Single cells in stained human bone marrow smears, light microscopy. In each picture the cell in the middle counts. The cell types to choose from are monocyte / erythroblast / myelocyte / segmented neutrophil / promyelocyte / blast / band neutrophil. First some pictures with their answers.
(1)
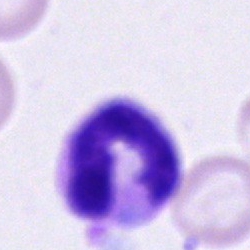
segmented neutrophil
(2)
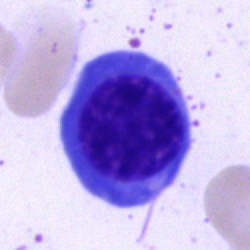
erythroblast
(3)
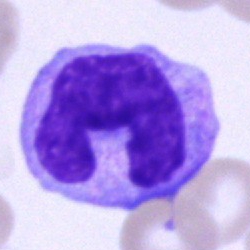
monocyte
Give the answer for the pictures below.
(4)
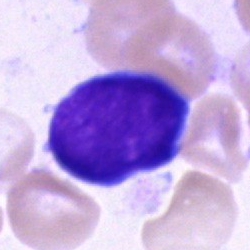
blast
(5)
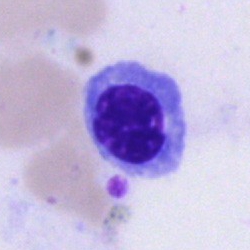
erythroblast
